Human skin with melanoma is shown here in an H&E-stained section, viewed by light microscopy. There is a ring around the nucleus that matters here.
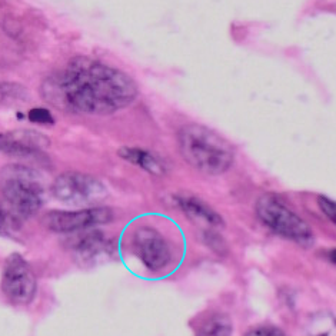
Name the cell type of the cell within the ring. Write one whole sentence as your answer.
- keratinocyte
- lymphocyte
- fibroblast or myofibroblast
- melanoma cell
Placed in its cell category, the cell within the ring is a melanoma cell.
